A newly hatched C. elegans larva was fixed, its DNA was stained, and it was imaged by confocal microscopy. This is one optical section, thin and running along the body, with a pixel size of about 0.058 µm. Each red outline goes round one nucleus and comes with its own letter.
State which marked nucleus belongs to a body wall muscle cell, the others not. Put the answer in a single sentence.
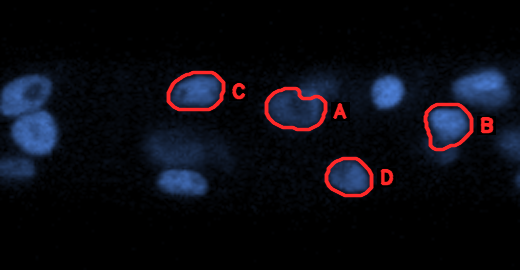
It is D that belongs to a body wall muscle cell.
